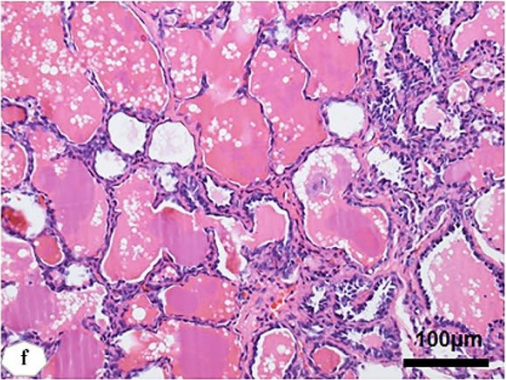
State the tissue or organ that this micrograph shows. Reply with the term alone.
Healthy mammary gland.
